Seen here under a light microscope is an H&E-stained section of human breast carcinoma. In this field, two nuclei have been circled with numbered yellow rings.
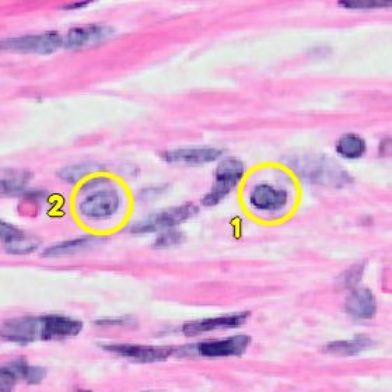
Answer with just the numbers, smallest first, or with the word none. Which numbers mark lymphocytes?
1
